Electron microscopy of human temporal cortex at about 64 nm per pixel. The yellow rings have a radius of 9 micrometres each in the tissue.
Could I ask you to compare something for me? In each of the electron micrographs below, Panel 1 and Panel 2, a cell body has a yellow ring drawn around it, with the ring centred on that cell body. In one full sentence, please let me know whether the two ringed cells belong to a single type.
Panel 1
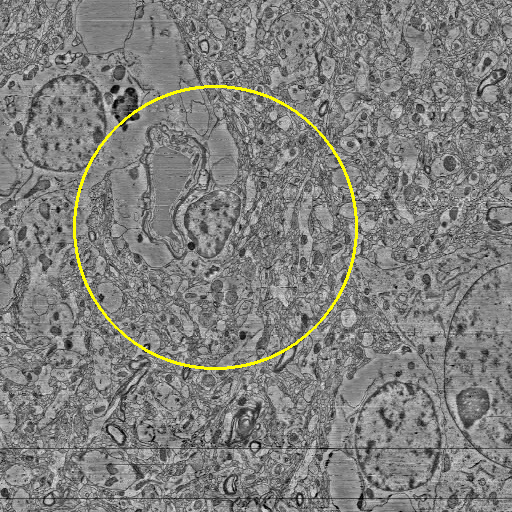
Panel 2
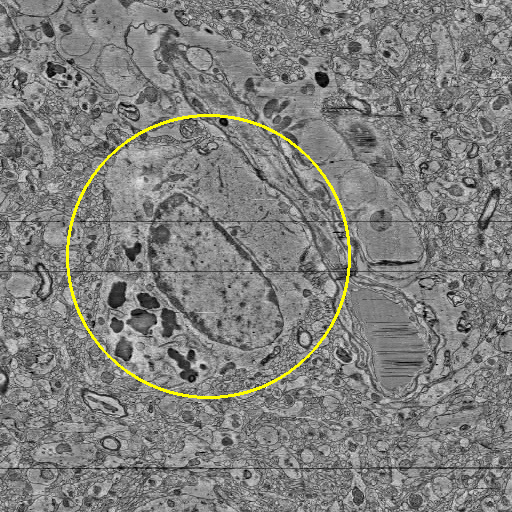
Yes, the two cells at the centres of the rings are of one type.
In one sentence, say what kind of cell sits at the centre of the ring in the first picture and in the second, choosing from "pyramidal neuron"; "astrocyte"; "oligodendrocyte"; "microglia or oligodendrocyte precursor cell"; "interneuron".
In each picture the ringed cell is a microglial cell or oligodendrocyte precursor cell.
